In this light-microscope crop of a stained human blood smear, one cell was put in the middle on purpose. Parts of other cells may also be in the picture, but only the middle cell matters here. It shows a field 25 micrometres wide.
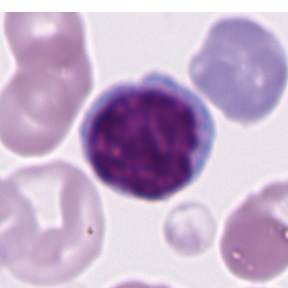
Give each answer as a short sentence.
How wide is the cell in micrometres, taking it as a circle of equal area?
The cell is about 11 micrometres across.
